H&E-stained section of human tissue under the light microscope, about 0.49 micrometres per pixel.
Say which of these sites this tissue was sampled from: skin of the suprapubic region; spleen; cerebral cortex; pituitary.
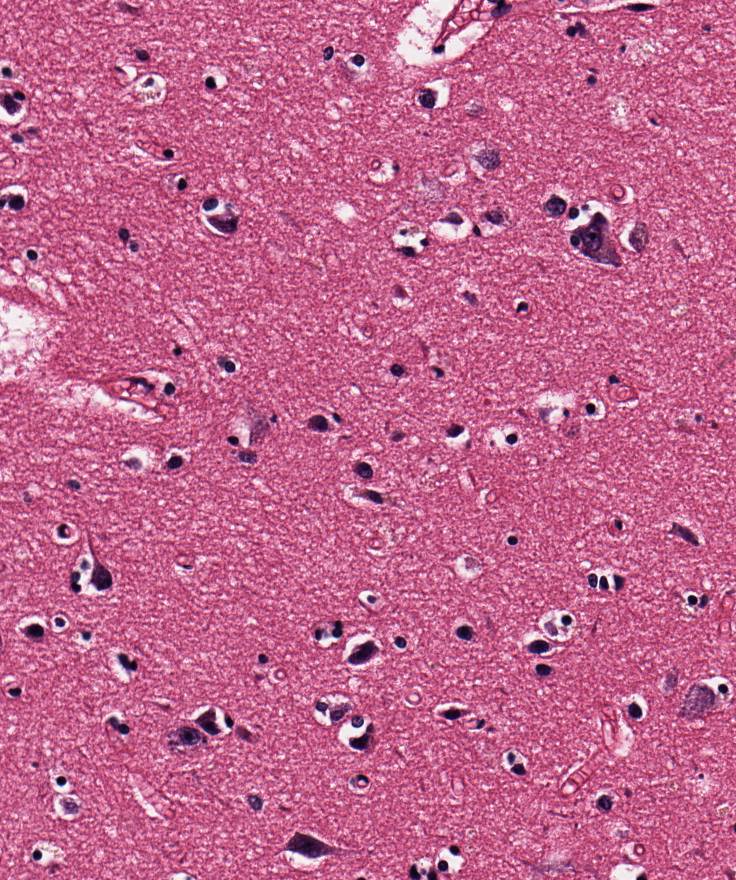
cerebral cortex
